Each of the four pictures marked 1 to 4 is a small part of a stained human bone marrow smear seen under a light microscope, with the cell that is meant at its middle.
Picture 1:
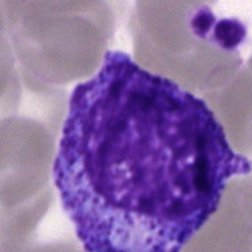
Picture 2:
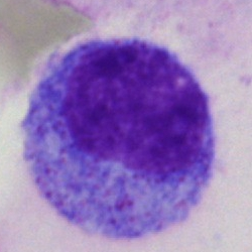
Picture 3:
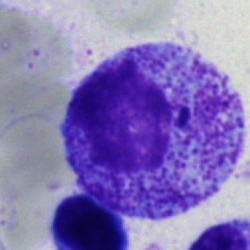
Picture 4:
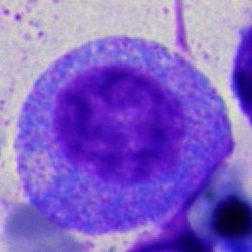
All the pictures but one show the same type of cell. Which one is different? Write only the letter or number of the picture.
3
